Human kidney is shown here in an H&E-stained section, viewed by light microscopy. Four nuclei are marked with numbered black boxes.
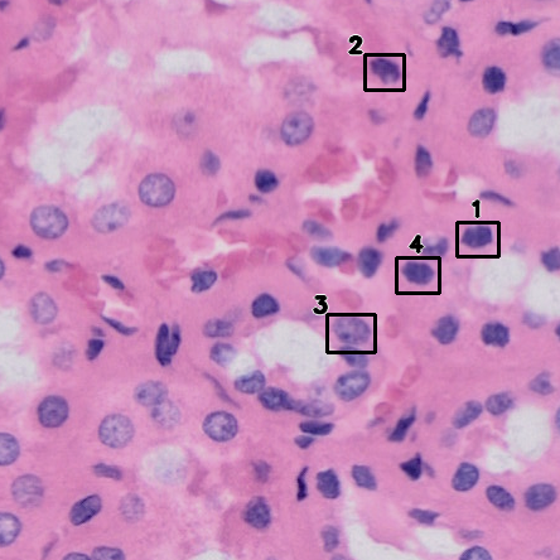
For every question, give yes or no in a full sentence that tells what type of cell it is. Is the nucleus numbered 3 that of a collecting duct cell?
Yes, the cell that goes by number 3 is a collecting duct cell.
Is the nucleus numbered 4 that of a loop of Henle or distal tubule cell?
Yes, number 4 corresponds to a loop of Henle or distal tubule cell.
